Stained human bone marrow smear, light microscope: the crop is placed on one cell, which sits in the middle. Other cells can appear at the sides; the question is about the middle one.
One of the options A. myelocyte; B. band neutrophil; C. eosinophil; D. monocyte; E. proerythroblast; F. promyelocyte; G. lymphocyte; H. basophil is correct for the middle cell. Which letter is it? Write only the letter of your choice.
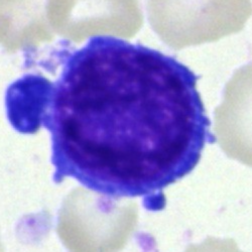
E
